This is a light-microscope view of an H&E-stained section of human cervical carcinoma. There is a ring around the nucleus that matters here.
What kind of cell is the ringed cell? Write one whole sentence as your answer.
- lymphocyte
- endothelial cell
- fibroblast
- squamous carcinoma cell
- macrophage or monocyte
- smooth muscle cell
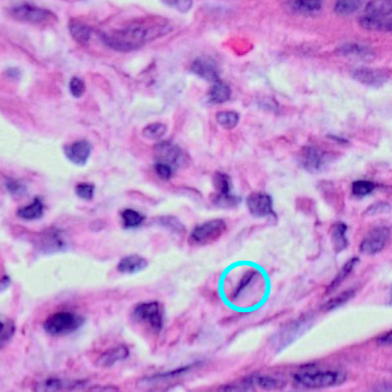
The category to which the ringed cell belongs is that of a fibroblast.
